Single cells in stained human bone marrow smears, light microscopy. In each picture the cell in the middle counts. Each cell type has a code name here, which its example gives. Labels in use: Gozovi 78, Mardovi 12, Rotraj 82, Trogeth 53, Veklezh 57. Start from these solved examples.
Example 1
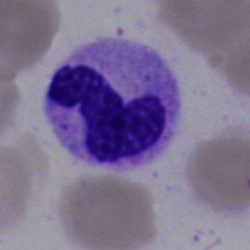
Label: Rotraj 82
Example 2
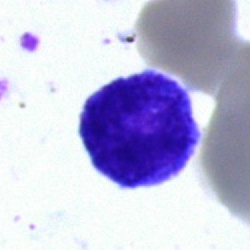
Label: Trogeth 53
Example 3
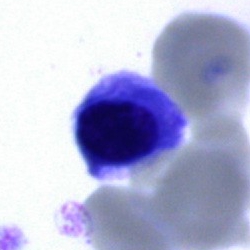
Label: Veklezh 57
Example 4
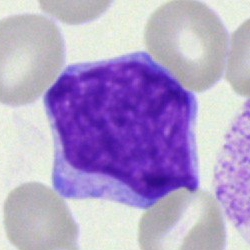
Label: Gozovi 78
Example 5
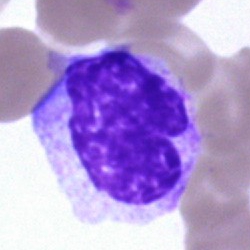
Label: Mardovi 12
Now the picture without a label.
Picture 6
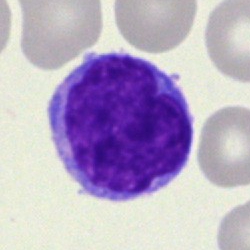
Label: Gozovi 78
